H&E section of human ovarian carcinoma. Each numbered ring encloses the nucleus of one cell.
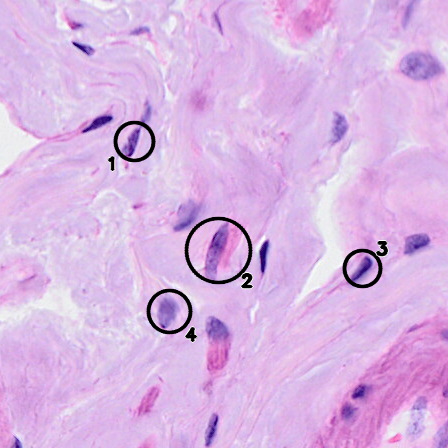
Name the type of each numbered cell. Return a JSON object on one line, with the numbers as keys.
{"1": "fibroblast", "2": "smooth muscle cell", "3": "fibroblast", "4": "fibroblast"}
